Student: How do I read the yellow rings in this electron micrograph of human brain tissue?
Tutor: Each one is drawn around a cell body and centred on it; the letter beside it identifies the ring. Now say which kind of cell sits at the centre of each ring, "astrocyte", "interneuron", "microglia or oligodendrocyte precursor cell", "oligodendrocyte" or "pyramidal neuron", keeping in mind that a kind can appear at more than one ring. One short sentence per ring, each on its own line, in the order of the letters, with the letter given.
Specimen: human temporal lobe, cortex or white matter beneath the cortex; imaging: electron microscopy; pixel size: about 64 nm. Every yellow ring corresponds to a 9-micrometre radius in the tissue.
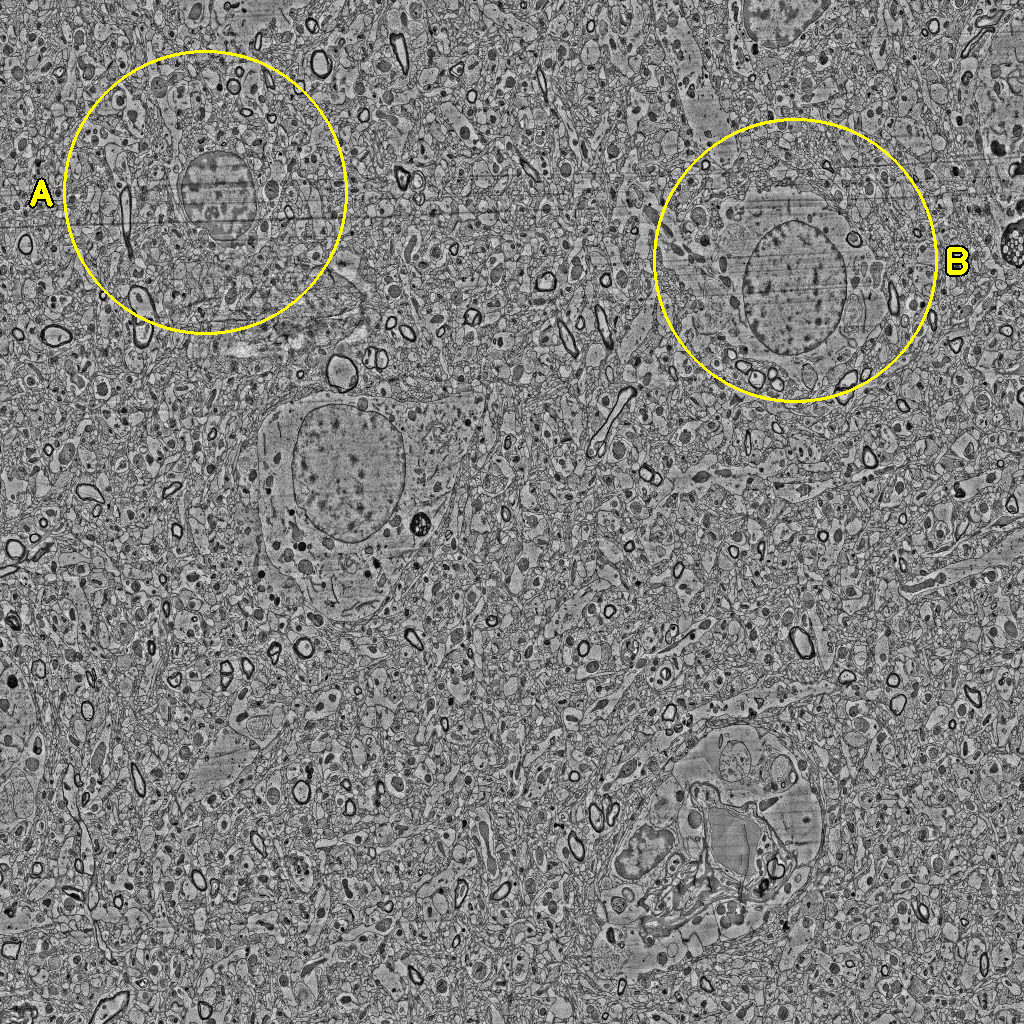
In the centre of ring A is an oligodendrocyte.
In the centre of ring B is an astrocyte.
